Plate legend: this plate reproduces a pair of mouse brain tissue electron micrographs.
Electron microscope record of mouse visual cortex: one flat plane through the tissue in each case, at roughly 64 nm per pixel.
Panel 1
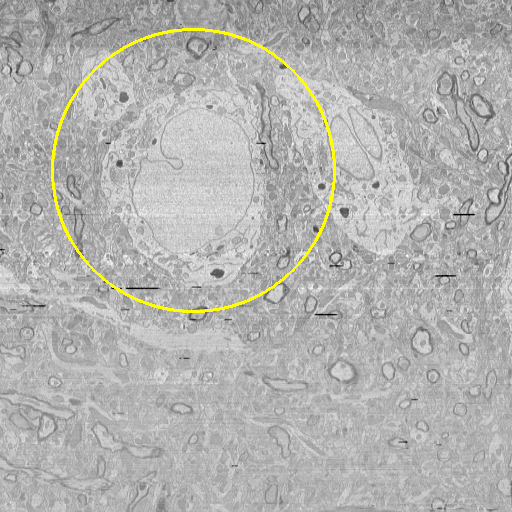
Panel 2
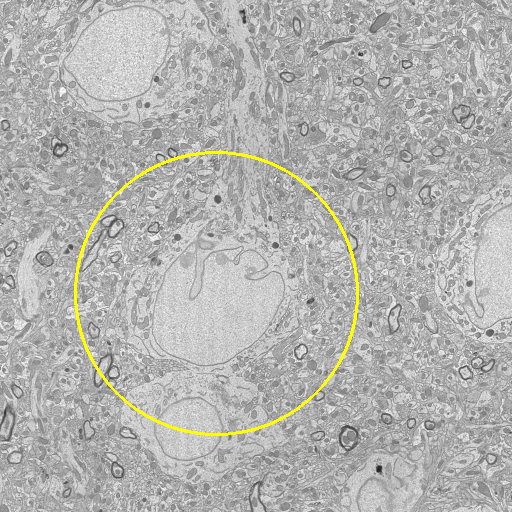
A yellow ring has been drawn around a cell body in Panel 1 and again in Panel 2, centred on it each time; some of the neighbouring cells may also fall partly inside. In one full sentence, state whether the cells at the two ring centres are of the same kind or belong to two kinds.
The ring-centred cells of Panel 1 and Panel 2 are of the same kind.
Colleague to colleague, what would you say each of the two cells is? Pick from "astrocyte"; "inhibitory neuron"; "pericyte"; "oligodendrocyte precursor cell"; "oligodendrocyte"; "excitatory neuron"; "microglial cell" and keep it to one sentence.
The ring centre holds an excitatory neuron in each of the two pictures.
